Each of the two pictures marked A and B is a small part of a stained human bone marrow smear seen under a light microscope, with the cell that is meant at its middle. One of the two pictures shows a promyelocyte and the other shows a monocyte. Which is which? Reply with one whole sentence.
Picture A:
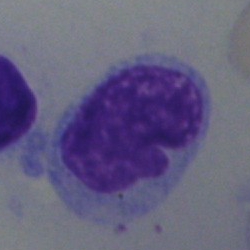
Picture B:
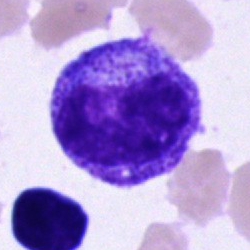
In picture A the cell is a monocyte; in picture B, a promyelocyte.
